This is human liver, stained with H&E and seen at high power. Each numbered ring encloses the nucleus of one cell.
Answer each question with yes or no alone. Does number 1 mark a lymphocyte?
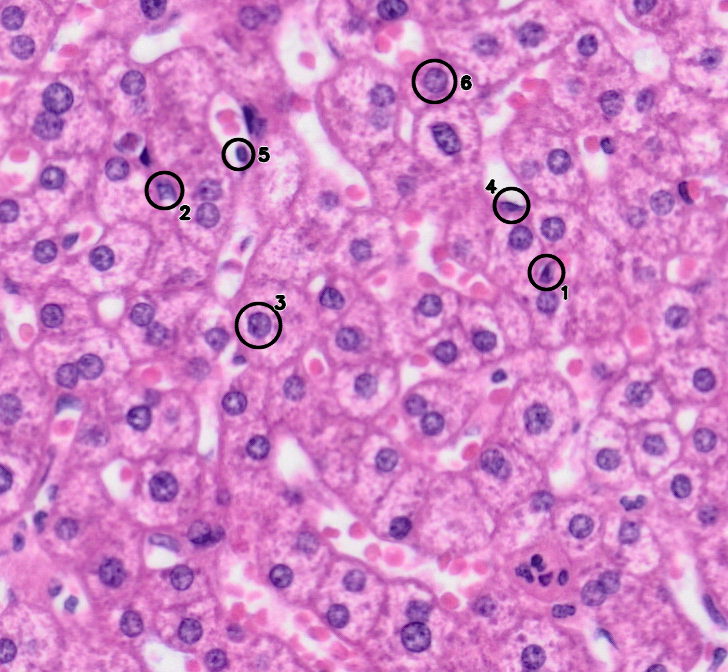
no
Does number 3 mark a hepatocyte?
yes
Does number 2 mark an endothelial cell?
yes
